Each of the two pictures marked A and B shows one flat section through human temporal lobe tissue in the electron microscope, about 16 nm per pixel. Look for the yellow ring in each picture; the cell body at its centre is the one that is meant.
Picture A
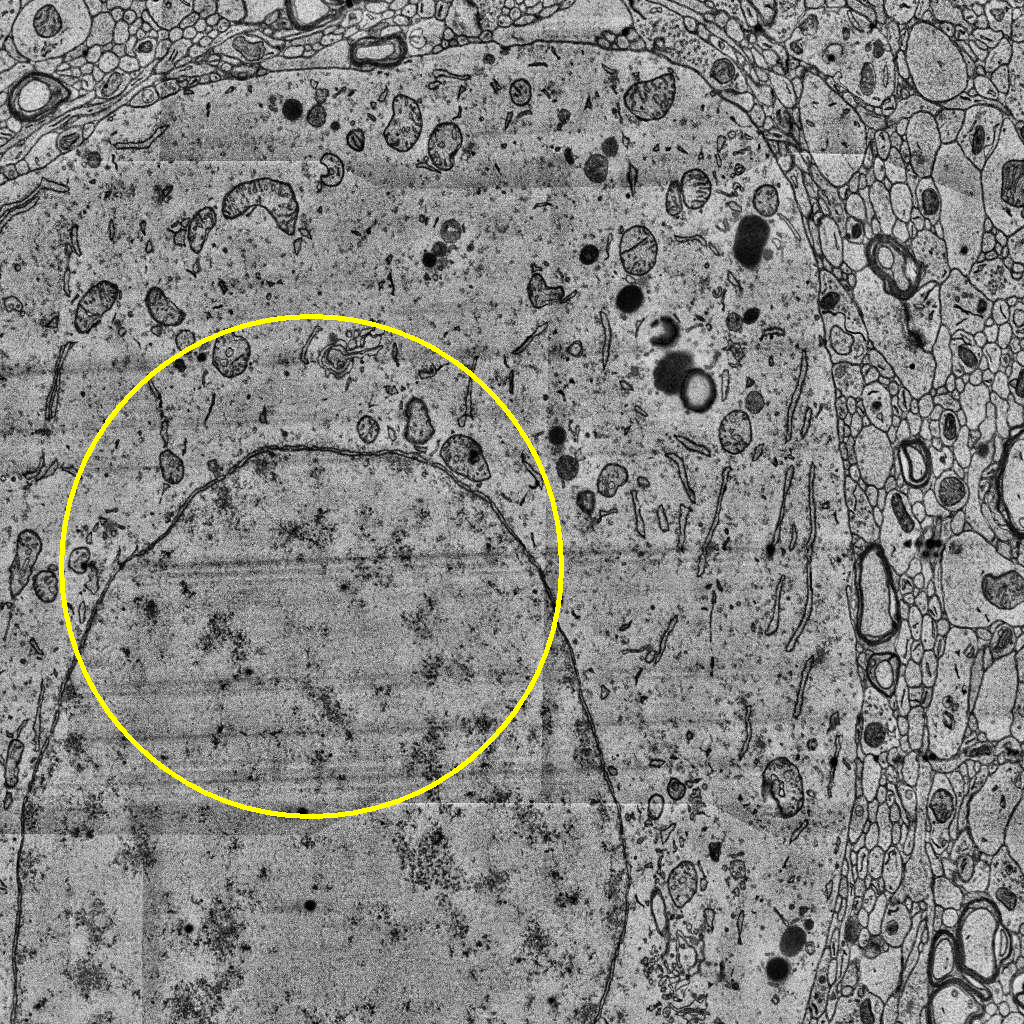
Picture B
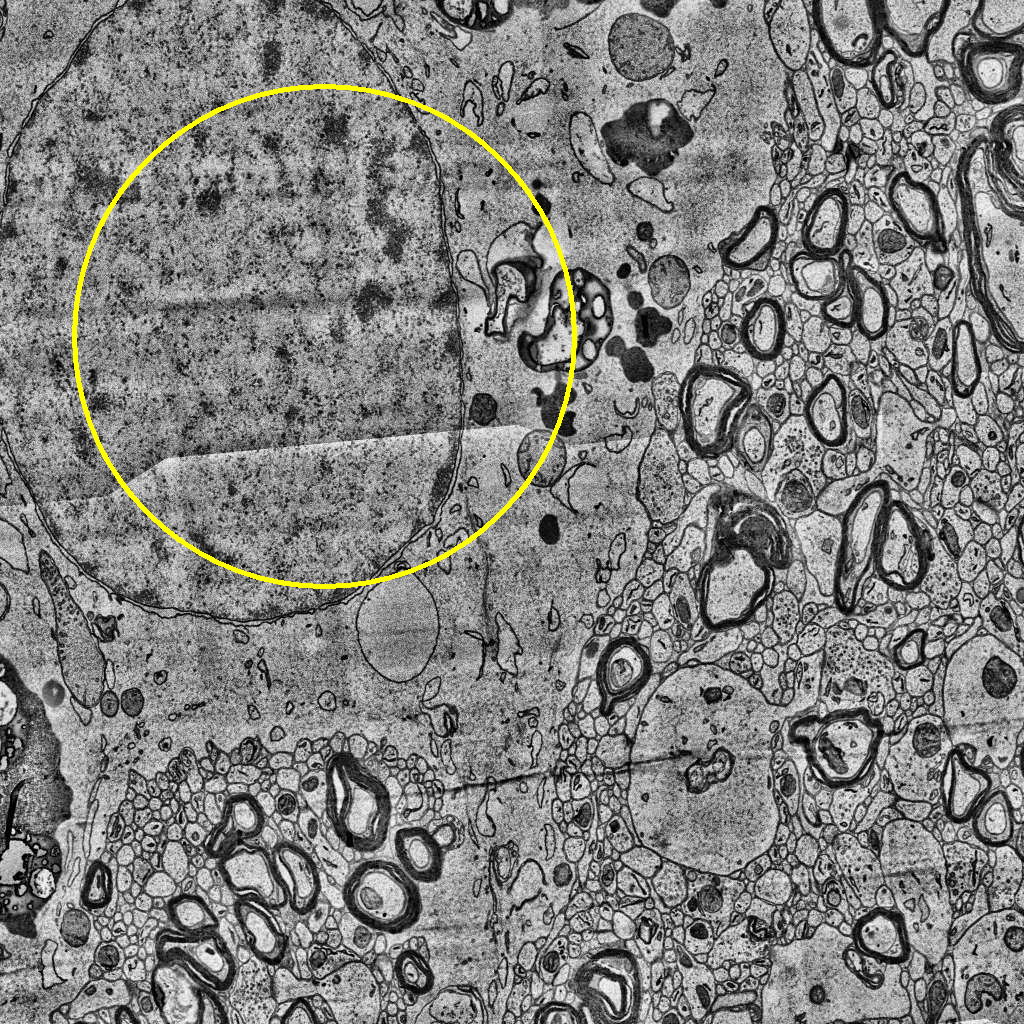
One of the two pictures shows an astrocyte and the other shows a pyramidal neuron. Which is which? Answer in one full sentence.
Picture B shows an astrocyte, while picture A shows a pyramidal neuron.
